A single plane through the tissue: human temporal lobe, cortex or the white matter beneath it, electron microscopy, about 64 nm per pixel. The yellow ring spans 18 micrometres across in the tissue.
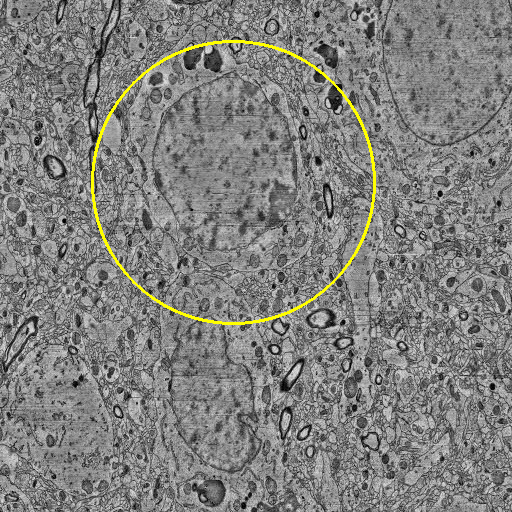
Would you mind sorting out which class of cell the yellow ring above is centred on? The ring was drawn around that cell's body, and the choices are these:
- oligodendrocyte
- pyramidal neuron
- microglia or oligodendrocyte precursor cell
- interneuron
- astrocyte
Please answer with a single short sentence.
This is the cell body of an interneuron.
